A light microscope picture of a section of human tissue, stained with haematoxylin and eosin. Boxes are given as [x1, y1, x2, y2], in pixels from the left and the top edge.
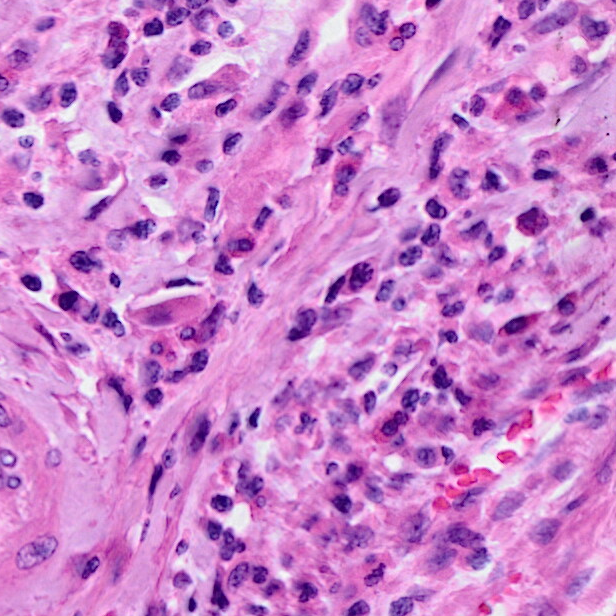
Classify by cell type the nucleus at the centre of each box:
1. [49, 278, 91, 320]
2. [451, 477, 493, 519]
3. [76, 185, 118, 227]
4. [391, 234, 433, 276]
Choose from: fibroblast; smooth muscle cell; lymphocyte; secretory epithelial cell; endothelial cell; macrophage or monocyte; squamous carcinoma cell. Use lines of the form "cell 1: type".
cell 1: lymphocyte
cell 2: endothelial cell
cell 3: endothelial cell
cell 4: lymphocyte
